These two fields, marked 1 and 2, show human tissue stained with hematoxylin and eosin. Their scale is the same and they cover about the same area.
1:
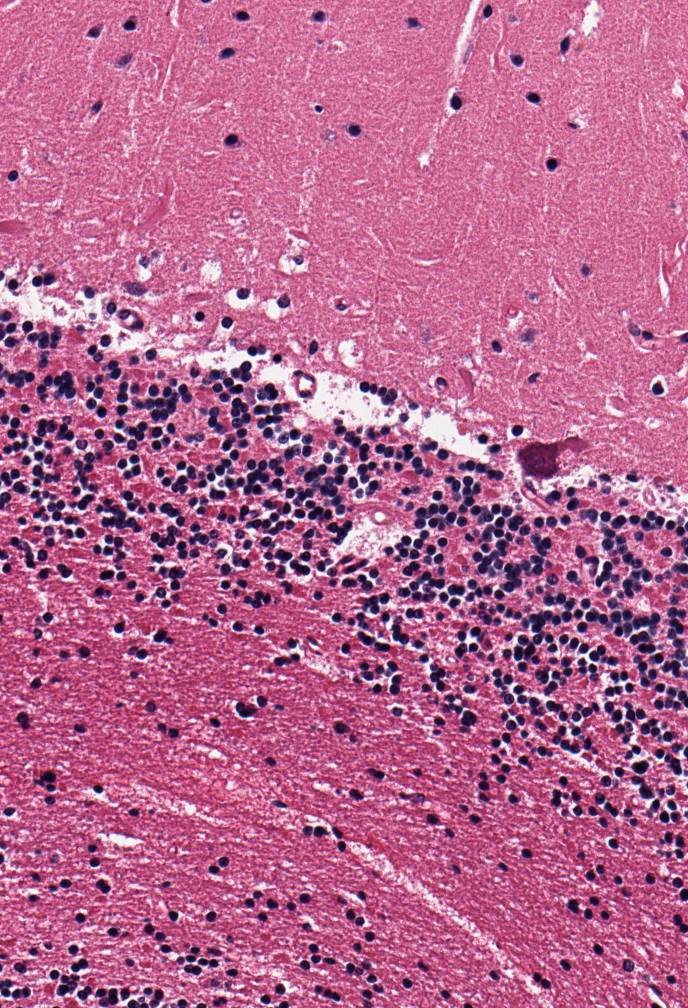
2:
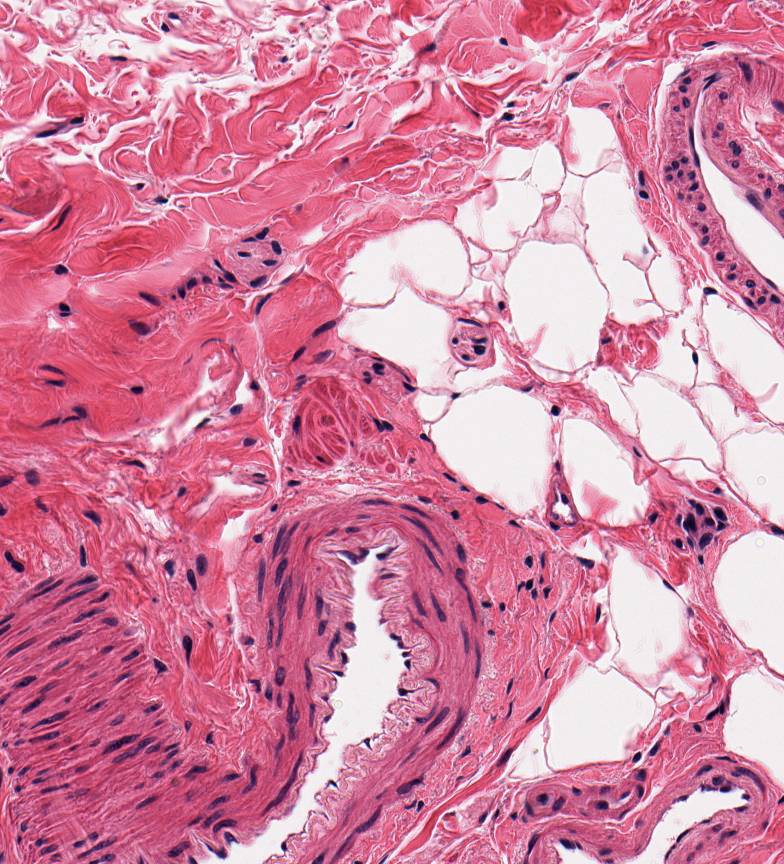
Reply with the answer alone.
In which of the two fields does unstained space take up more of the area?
2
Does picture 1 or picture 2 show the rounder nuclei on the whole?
1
